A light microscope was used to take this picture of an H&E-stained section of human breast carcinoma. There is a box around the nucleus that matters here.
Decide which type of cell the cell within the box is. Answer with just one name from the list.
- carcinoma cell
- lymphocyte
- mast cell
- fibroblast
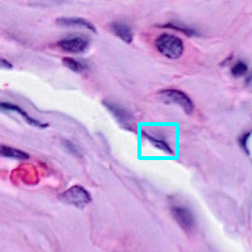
fibroblast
